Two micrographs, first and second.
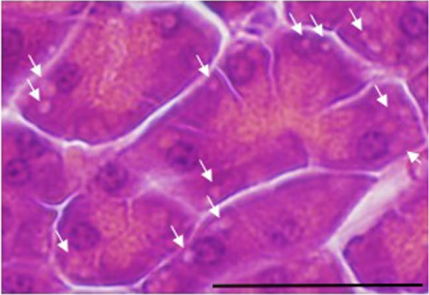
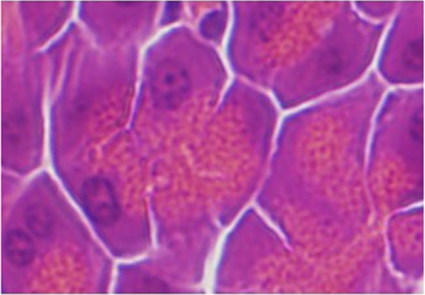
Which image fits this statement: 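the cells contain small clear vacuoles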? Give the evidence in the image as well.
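First image: many small round clear spaces lie in the cytoplasm near the cell borders. Second image: the cytoplasm has no such clear round spaces. That points to this answer: the first image.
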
